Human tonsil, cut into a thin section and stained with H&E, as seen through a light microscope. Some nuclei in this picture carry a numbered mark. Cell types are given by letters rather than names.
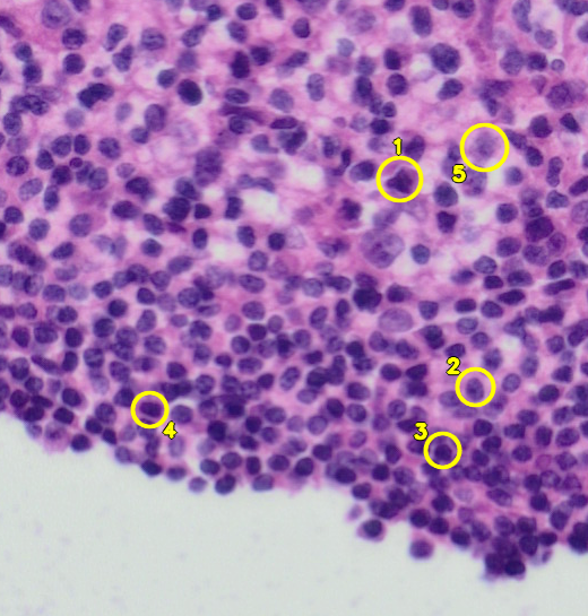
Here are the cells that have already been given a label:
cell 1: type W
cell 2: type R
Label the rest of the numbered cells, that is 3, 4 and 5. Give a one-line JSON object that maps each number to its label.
{"3": "type R", "4": "type R", "5": "type W"}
